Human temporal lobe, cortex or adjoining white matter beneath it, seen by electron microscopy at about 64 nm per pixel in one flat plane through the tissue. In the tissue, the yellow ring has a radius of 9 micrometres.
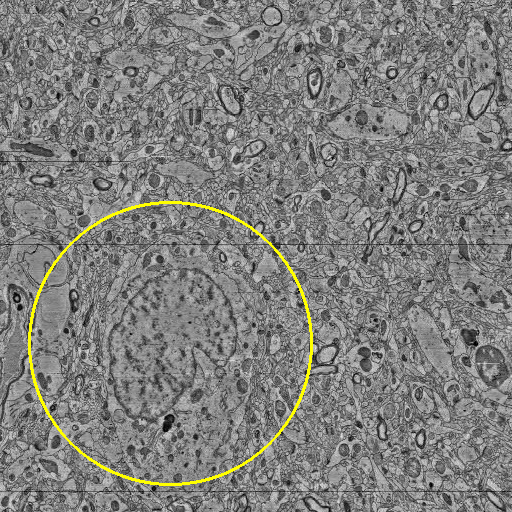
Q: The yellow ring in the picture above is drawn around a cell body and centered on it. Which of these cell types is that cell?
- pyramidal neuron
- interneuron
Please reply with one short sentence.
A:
The cell body at the ring's center belongs to an interneuron.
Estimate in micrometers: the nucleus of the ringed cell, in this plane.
Approximately 11 by 8 micrometers in this plane.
